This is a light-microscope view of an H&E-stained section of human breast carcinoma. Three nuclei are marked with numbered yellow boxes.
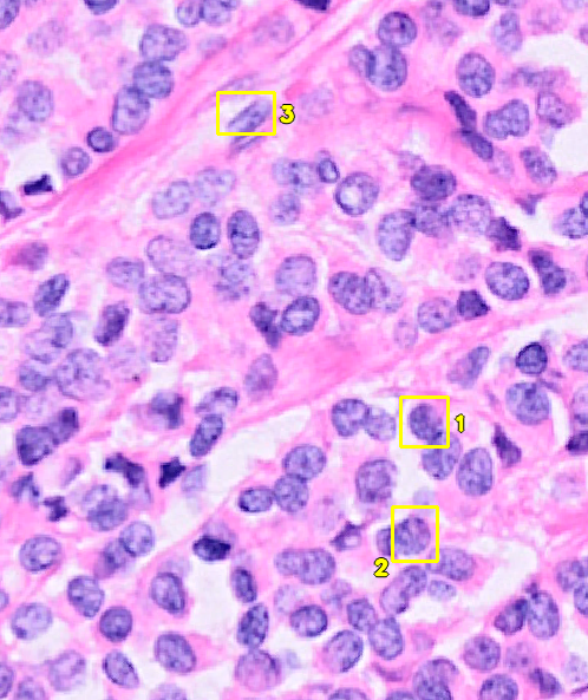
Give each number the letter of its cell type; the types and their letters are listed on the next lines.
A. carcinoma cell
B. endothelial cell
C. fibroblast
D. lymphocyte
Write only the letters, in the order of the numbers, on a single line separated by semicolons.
A; A; B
